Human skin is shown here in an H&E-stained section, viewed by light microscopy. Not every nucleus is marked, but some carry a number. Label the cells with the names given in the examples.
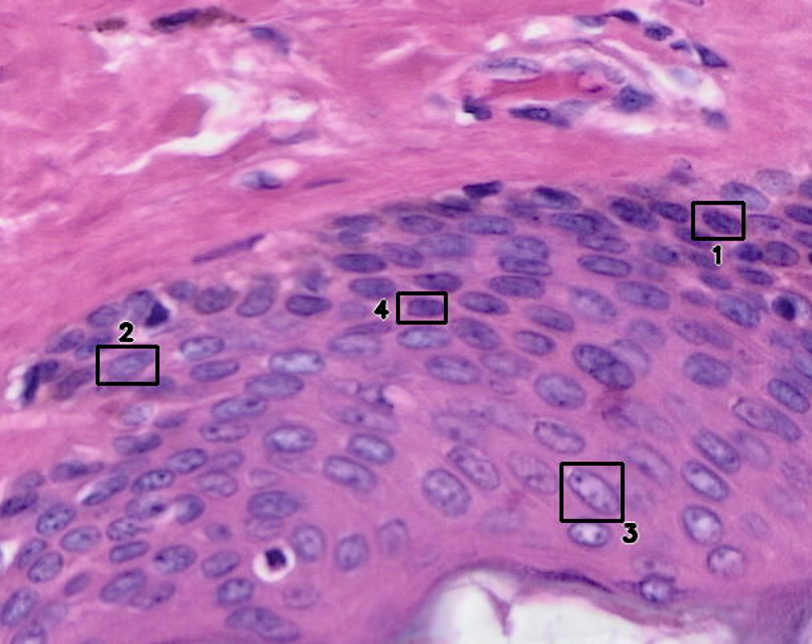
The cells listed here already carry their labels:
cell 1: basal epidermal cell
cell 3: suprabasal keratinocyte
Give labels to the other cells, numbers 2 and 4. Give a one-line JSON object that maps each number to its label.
{"2": "basal epidermal cell", "4": "basal epidermal cell"}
